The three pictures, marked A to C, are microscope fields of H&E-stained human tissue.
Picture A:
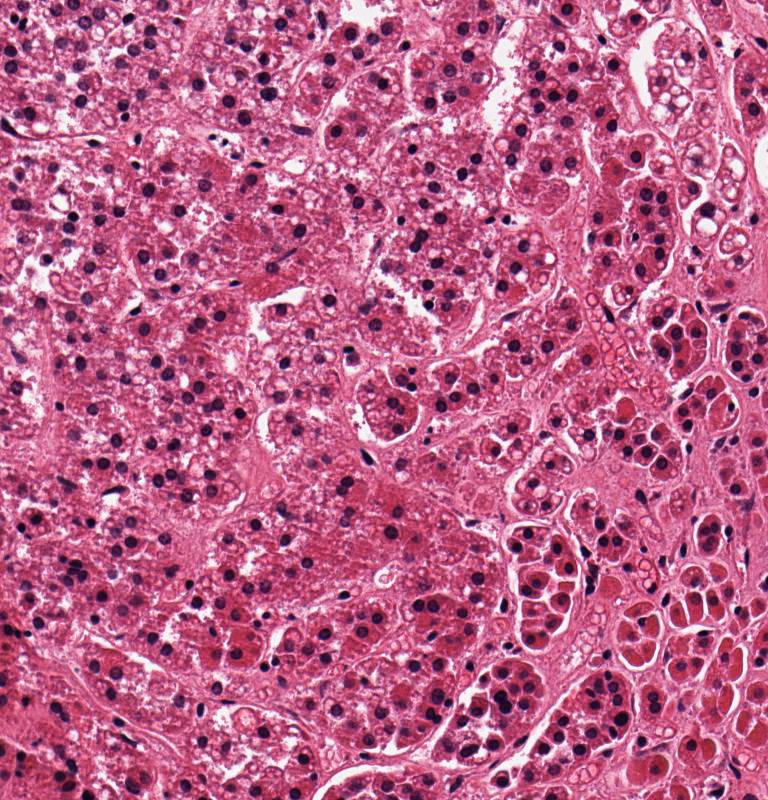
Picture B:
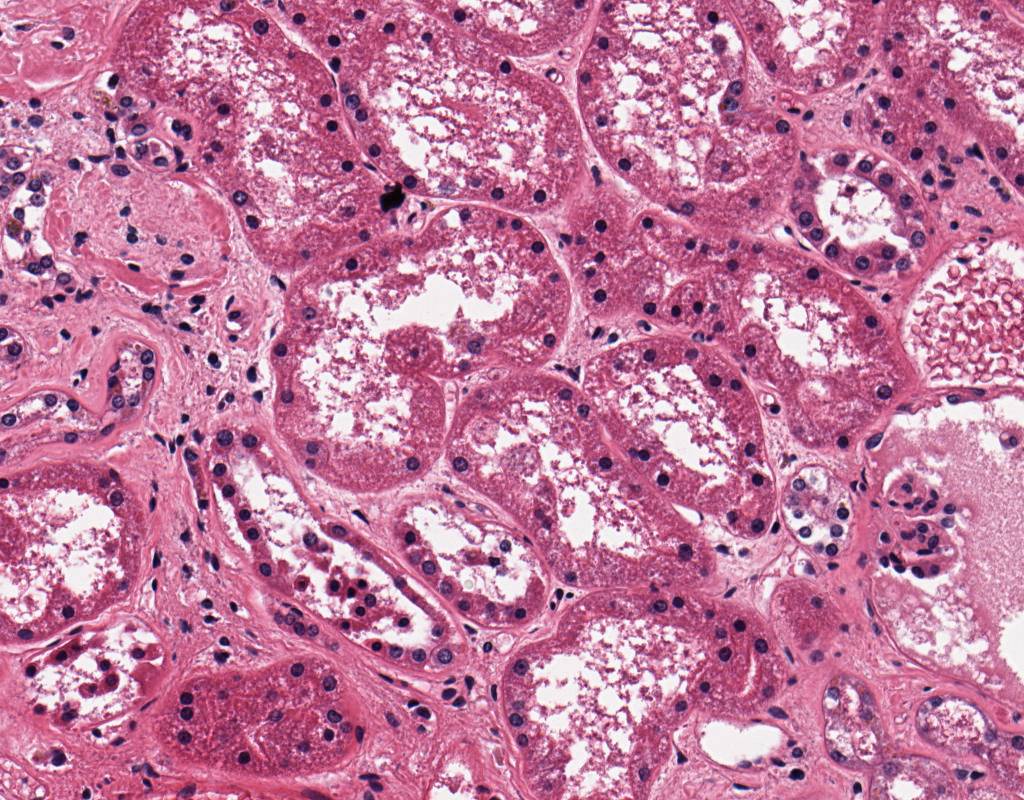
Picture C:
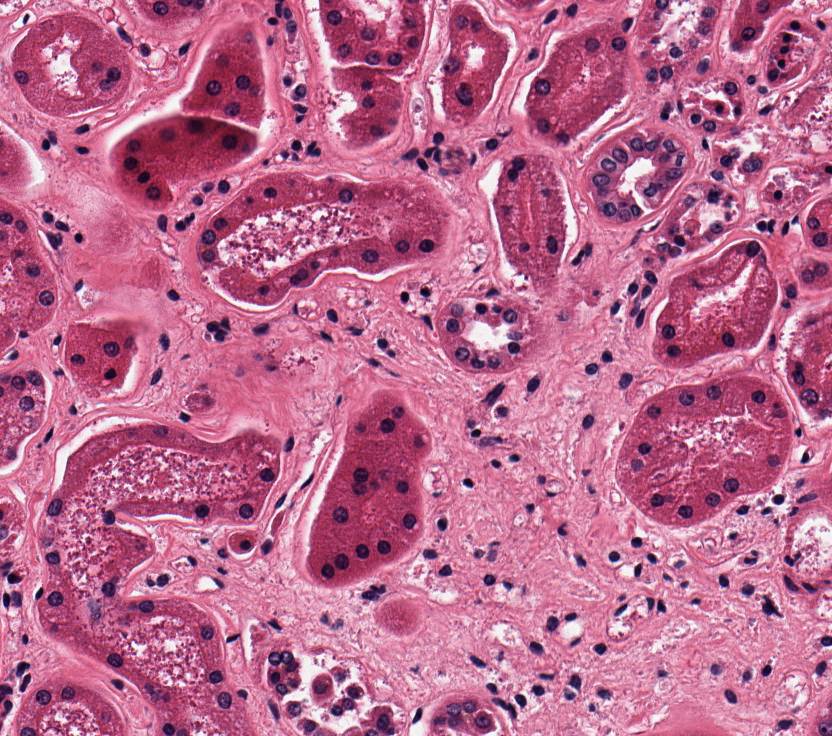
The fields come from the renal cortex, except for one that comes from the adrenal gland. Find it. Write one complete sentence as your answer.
Picture A comes from the adrenal gland.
